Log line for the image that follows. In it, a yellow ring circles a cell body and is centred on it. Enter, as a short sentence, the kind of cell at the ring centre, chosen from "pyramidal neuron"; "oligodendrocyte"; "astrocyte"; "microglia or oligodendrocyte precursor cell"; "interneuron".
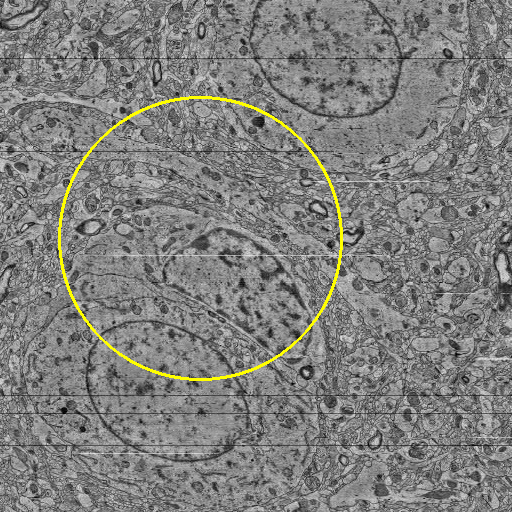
The ring centre is occupied by a microglial cell or oligodendrocyte precursor cell.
